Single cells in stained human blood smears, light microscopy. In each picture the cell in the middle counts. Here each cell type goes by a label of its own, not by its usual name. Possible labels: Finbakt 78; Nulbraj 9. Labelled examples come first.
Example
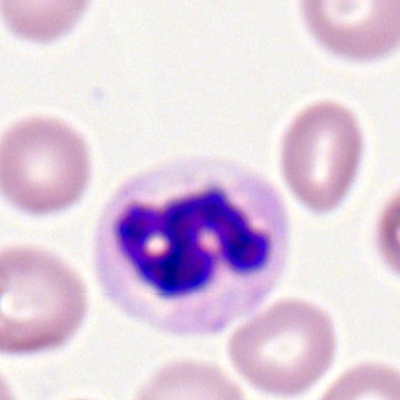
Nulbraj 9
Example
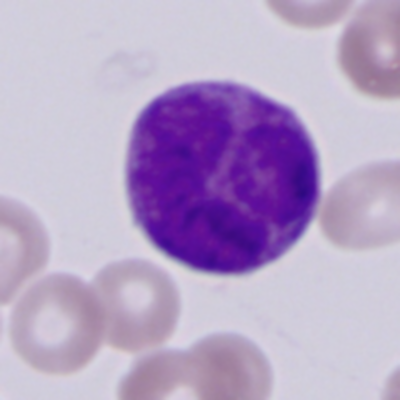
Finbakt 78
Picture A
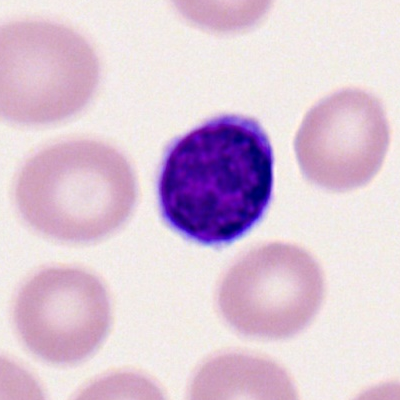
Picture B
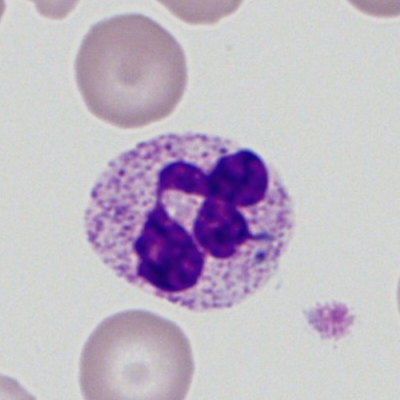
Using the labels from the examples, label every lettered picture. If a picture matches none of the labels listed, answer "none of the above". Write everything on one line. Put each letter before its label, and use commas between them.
A none of the above, B Nulbraj 9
